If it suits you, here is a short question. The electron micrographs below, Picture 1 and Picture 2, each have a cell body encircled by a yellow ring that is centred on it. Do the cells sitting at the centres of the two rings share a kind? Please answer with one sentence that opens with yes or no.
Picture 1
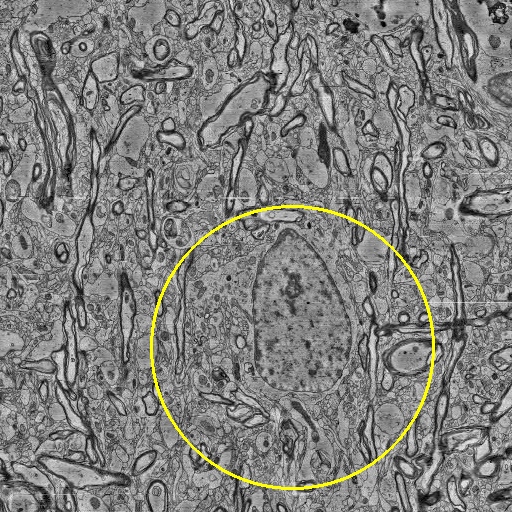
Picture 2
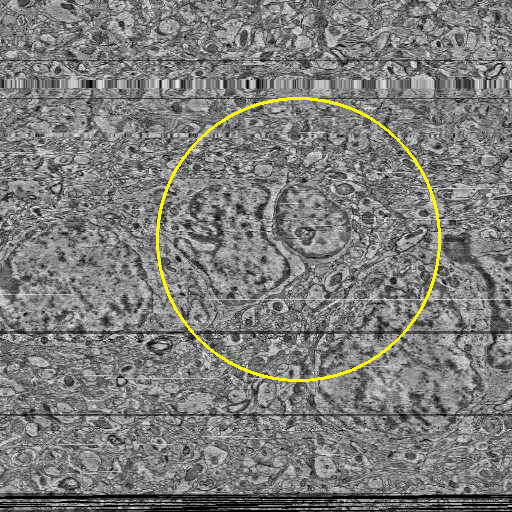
No, the two cells sitting at the ring centres fall into two kinds.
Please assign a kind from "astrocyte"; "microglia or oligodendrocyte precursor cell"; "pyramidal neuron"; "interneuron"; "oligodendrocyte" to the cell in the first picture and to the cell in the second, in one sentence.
In the first picture we have a microglial cell or oligodendrocyte precursor cell, and in the second, an oligodendrocyte.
